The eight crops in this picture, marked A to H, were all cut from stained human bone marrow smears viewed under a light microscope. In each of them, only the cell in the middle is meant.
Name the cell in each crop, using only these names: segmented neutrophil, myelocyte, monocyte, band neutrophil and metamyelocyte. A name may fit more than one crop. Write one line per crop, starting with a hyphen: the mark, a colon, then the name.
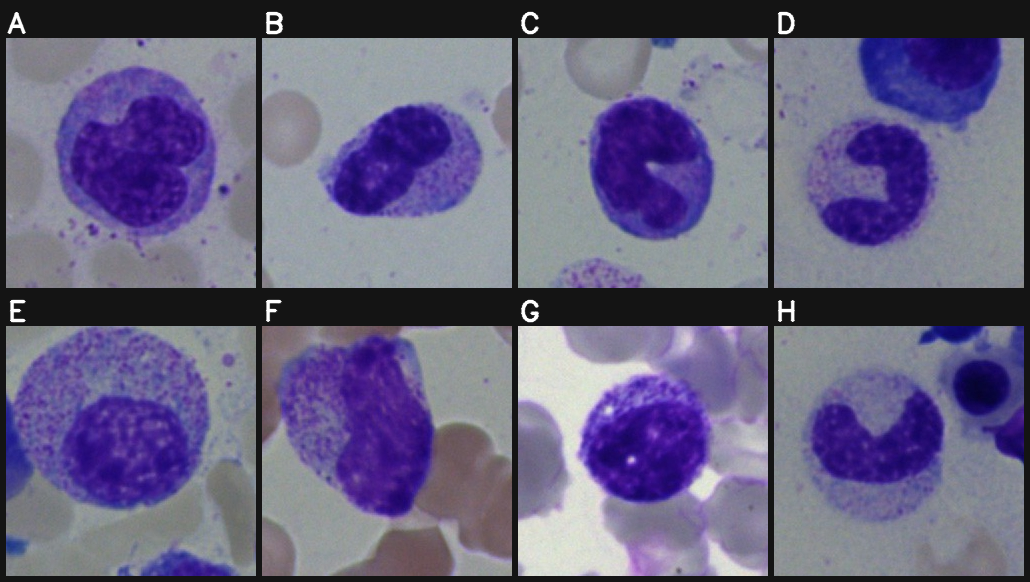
- A: monocyte
- B: metamyelocyte
- C: monocyte
- D: band neutrophil
- E: myelocyte
- F: metamyelocyte
- G: myelocyte
- H: band neutrophil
